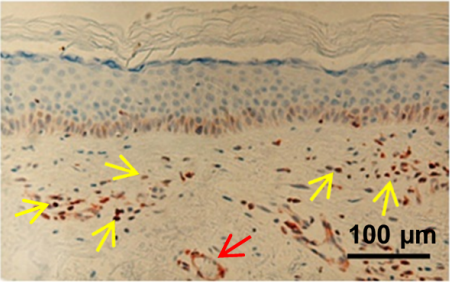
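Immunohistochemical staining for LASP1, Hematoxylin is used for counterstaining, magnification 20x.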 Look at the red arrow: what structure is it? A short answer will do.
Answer: Blood vessel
